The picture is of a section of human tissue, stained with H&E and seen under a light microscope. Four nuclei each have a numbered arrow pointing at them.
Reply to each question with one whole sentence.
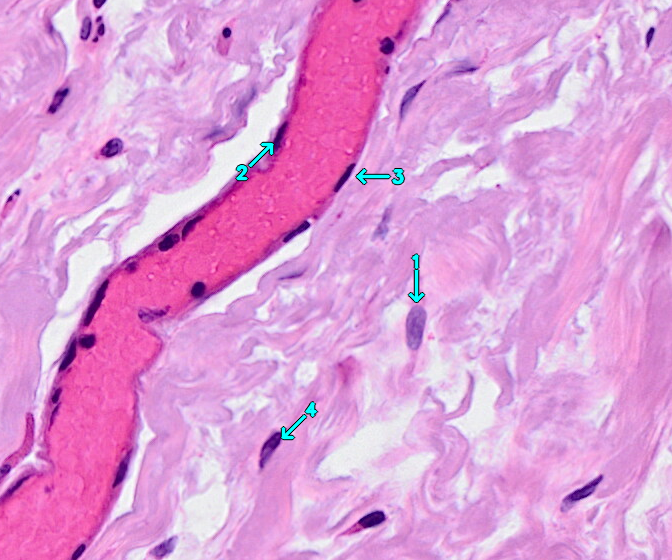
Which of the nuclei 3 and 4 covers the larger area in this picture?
At about 2 times the area of nucleus 3, nucleus 4 is the larger of the two.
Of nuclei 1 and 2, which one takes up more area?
Nucleus 1 is larger, with an area about 3 times that of nucleus 2.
